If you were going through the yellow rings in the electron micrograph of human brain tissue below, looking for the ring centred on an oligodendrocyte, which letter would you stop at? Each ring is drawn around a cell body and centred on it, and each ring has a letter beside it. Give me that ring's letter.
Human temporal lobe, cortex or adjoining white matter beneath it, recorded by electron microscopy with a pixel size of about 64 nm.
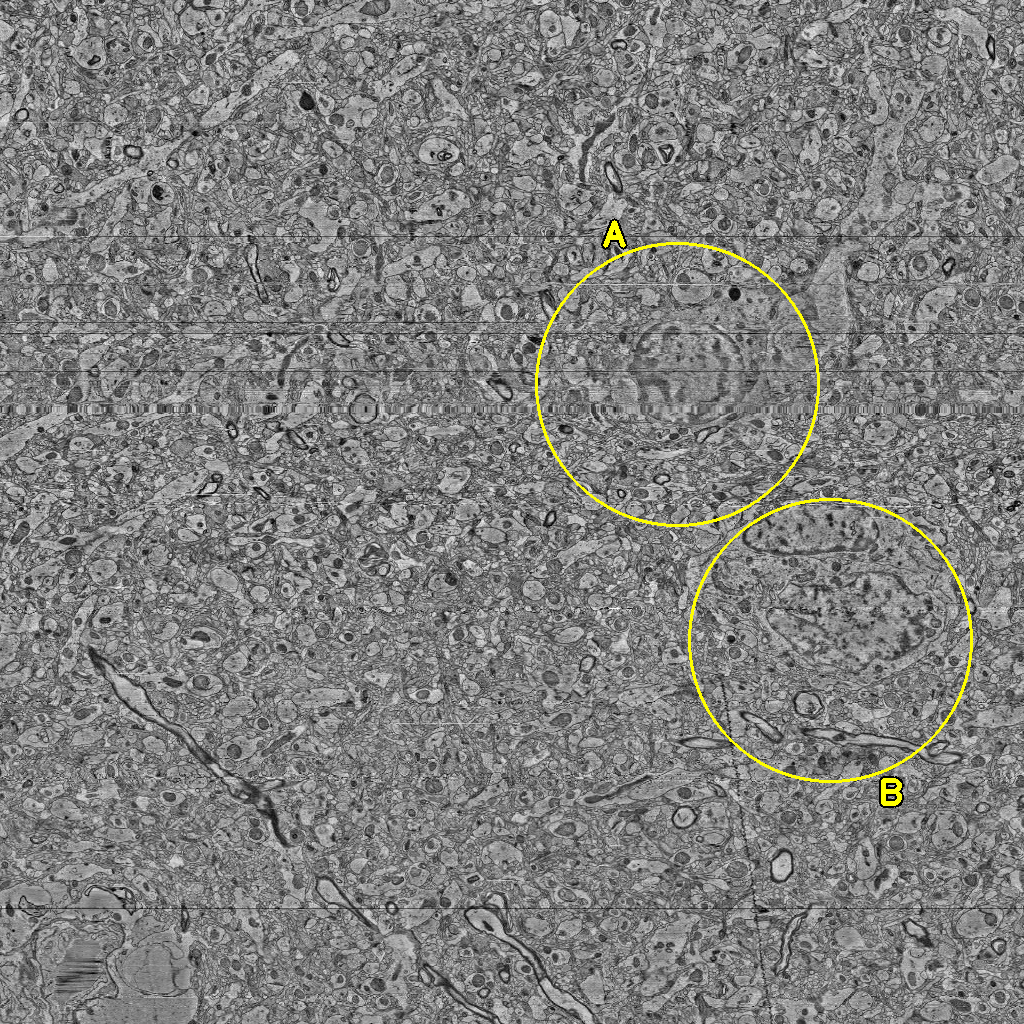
A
